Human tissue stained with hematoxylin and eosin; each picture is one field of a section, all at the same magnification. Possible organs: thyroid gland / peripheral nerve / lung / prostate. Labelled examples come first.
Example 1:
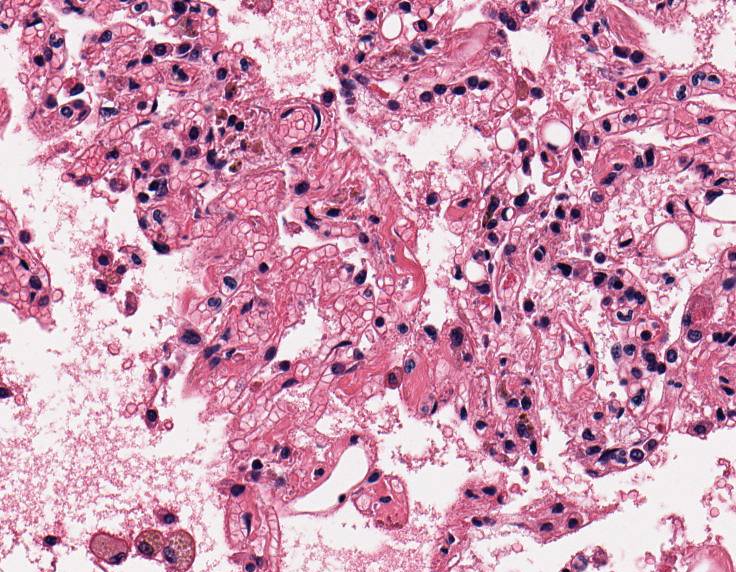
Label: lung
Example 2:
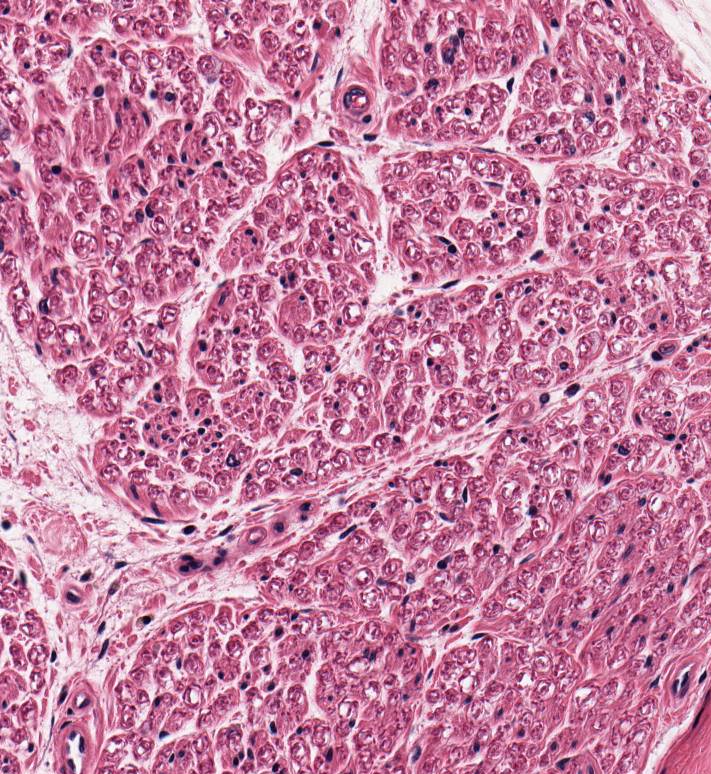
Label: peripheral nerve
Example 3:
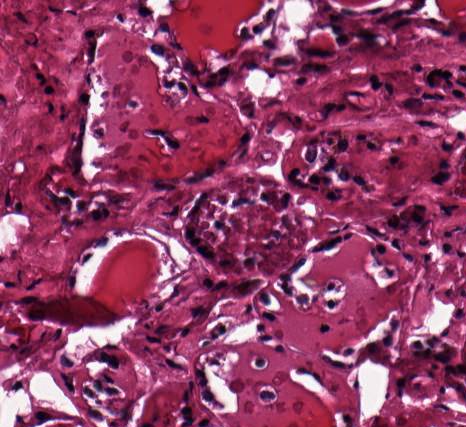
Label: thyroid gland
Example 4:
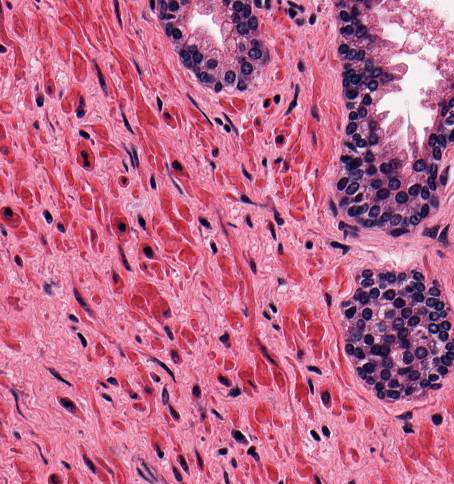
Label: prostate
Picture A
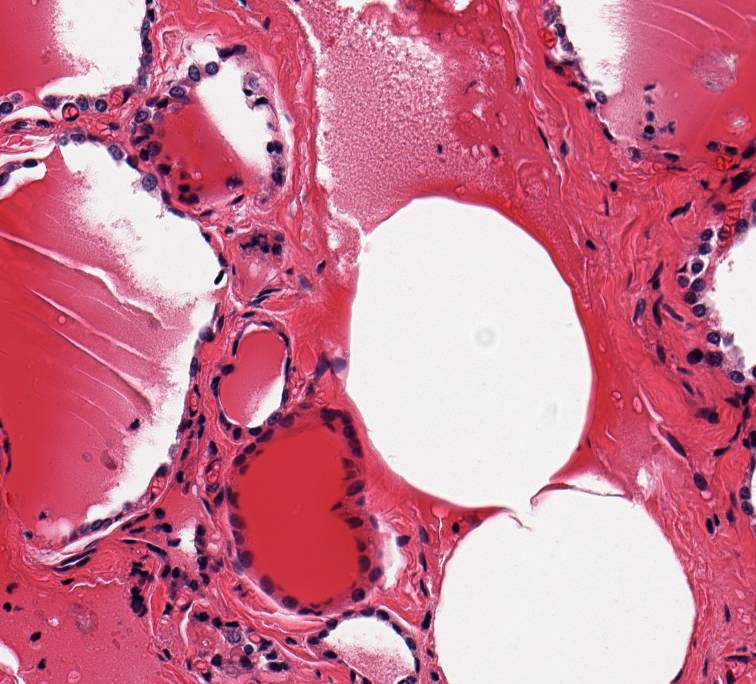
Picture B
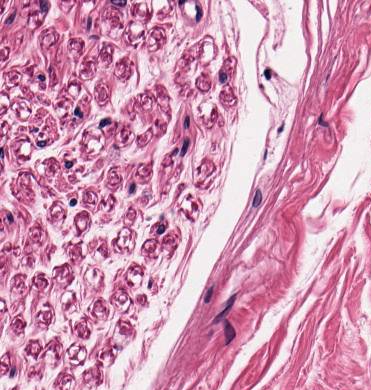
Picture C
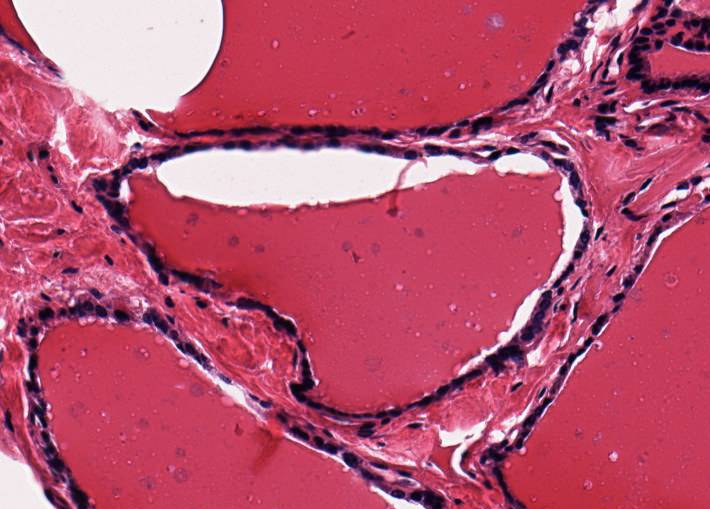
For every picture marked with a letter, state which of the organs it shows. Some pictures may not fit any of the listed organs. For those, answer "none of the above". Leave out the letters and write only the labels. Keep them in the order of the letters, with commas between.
thyroid gland, peripheral nerve, thyroid gland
